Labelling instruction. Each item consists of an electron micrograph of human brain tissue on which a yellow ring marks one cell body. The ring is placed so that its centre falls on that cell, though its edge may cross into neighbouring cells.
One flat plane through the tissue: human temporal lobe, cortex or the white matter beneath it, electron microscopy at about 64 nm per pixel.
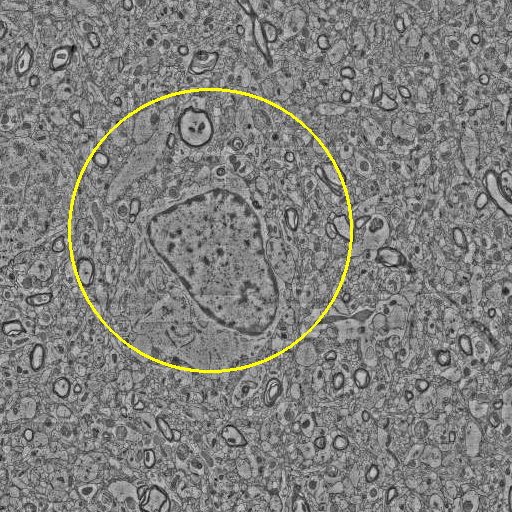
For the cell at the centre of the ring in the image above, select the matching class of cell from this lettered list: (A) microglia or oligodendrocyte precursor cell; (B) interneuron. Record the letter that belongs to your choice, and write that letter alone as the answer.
A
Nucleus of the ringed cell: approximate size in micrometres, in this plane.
In this plane, approximately 10 by 7 micrometers.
